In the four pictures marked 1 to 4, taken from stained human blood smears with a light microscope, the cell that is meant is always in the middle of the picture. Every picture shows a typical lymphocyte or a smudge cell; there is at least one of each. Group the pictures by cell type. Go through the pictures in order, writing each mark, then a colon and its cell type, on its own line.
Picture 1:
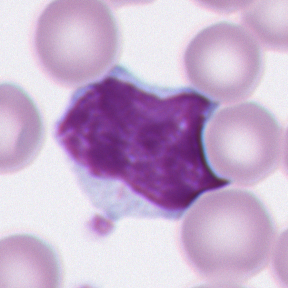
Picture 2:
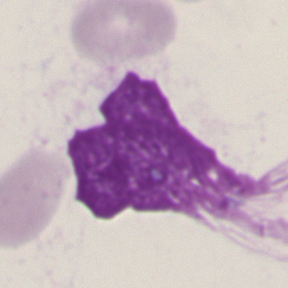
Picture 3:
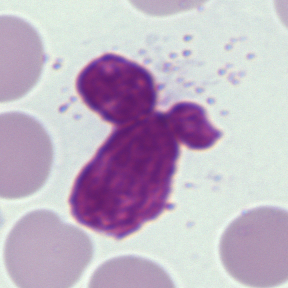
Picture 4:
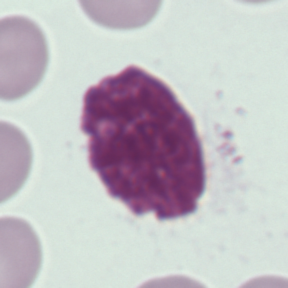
1: typical lymphocyte
2: smudge cell
3: smudge cell
4: smudge cell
